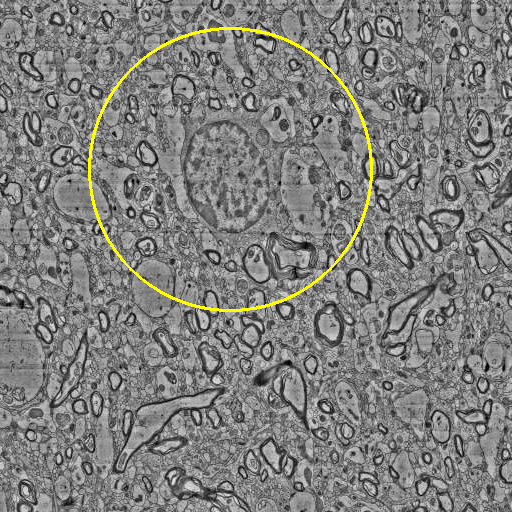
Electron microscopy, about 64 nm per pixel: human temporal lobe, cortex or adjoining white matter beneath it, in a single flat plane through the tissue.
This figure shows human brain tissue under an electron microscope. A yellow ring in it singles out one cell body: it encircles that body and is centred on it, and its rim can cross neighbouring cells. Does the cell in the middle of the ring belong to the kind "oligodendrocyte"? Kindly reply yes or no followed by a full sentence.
Yes, the kind asked about is right for the cell centred in the figure's ring.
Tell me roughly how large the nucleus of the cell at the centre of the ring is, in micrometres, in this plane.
In this plane, the nucleus of the cell at the centre of the ring measures about 7 by 5 micrometres.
